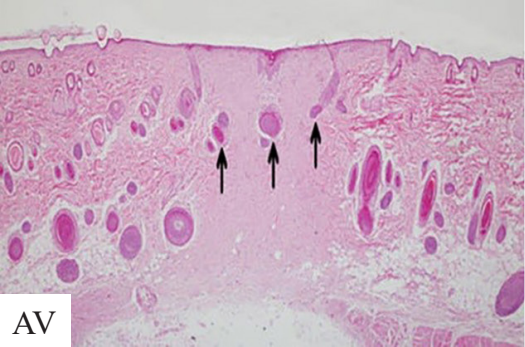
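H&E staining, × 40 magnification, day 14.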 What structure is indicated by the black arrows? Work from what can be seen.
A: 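The arrows point to small round and elongated pink epithelial structures lying within a pale, homogeneous band of dermis. These structures resemble the cut hair follicles in the surrounding intact skin on either side, but are smaller.
Hair follicle regeneration.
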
